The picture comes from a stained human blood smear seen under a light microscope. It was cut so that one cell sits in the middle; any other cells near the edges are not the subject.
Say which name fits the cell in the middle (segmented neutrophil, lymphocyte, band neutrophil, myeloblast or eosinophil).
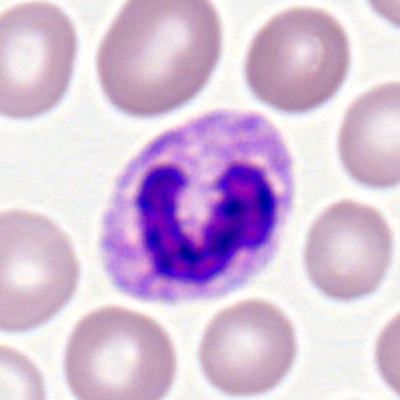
band neutrophil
